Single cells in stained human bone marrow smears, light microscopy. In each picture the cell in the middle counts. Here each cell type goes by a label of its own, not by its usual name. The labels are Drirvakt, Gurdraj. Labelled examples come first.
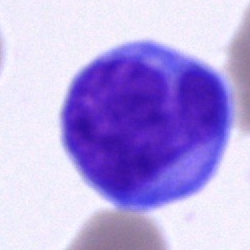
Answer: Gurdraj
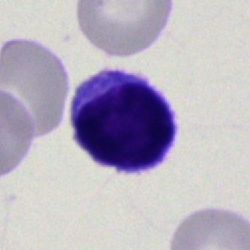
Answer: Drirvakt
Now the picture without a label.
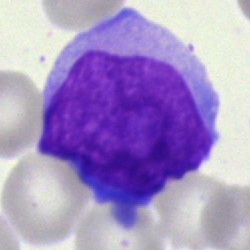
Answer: Gurdraj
